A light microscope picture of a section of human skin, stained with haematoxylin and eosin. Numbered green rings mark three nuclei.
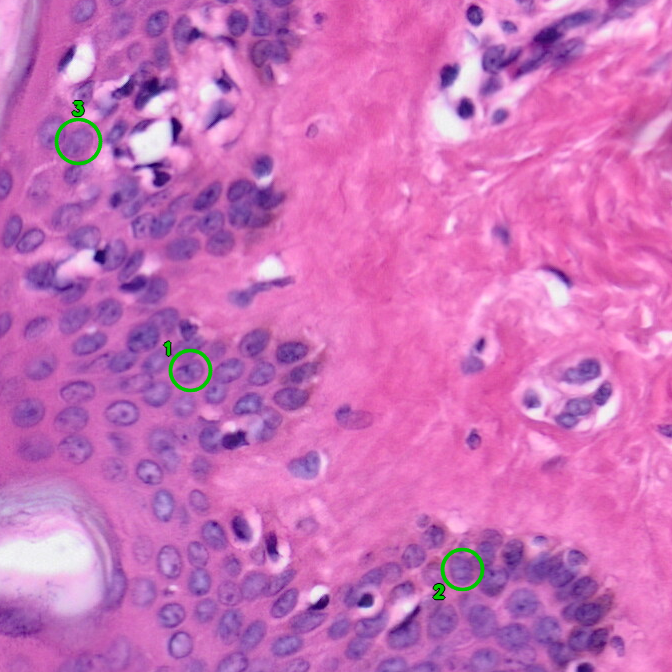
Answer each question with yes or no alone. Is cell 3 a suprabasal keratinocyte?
yes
